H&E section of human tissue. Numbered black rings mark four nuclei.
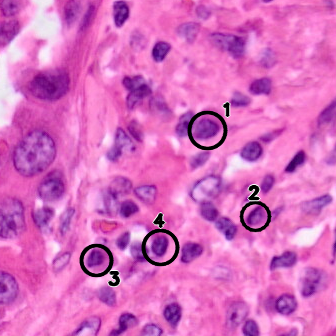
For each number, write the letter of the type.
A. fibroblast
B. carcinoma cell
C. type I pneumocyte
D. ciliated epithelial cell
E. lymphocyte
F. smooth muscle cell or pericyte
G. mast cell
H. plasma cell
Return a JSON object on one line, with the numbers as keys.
{"1": "H", "2": "H", "3": "H", "4": "E"}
